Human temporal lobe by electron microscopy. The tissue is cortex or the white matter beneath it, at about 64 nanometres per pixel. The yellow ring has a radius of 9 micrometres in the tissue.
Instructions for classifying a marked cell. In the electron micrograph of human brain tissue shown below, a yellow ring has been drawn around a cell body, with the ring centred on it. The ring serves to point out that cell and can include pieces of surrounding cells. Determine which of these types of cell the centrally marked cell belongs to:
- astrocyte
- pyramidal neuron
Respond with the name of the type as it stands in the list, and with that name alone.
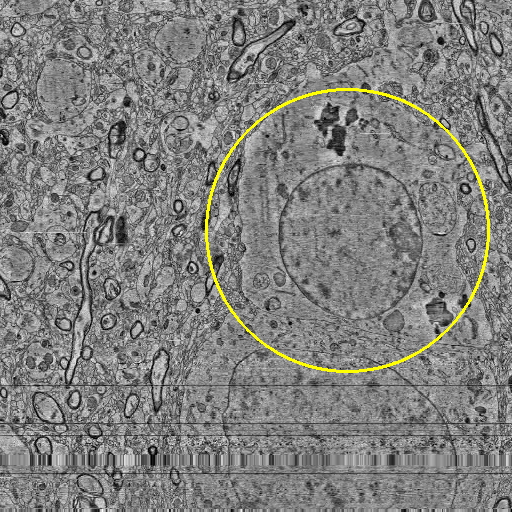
astrocyte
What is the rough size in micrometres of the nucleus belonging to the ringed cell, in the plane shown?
The nucleus comes to roughly 10 micrometres across in this plane.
